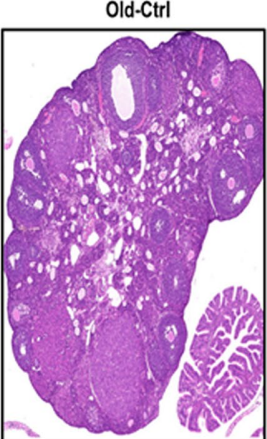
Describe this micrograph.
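The small and growing follicles lie mainly toward the outer cortex. Larger follicles with several layers of purple granulosa cells, some with a pale fluid-filled cavity, bulge at the surface. The central medulla is looser and contains many small pale vascular spaces, and a folded piece of neighbouring tissue lies at the lower right corner.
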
